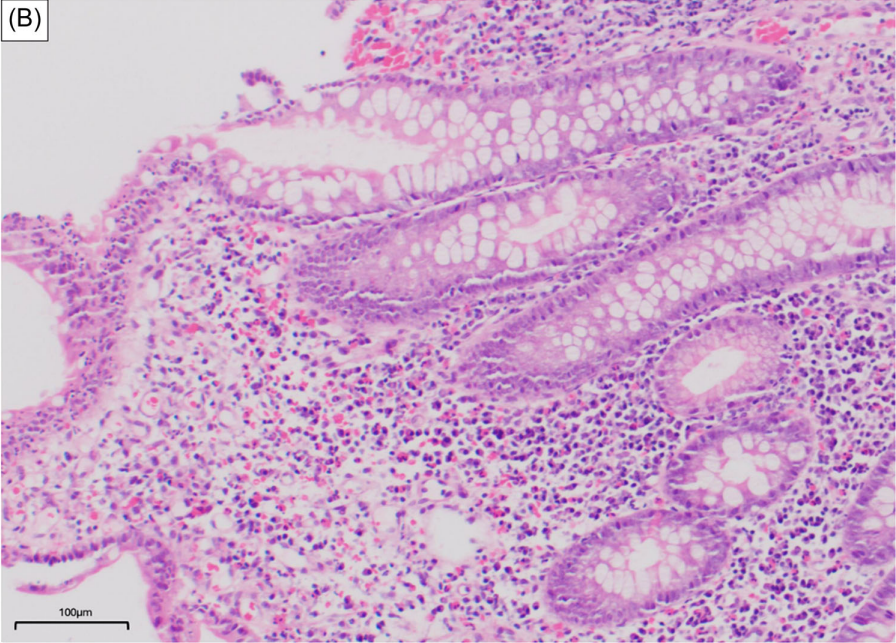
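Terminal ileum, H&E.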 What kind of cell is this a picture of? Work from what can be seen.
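Cells with bright eosinophilic granules are mixed with lymphocyte-like round dark nuclei. The cells are densely packed in the lamina propria between the glands. That points to this answer: mixed inflammatory infiltrate.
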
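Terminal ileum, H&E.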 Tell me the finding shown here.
expansion of the lamina propria by mixed inflammatory infiltrate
